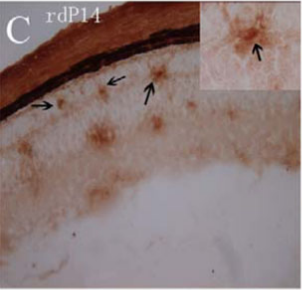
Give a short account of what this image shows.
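Section of a retina in which scattered brown-stained cells with dark centres sit among the small pale round nuclei of the outer nuclear layer, just beneath the dark pigmented band at the outer edge. Similar brown cells, some with short radiating processes, are spread deeper in the retina, and the inset shows one enlarged with a dark central stain.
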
